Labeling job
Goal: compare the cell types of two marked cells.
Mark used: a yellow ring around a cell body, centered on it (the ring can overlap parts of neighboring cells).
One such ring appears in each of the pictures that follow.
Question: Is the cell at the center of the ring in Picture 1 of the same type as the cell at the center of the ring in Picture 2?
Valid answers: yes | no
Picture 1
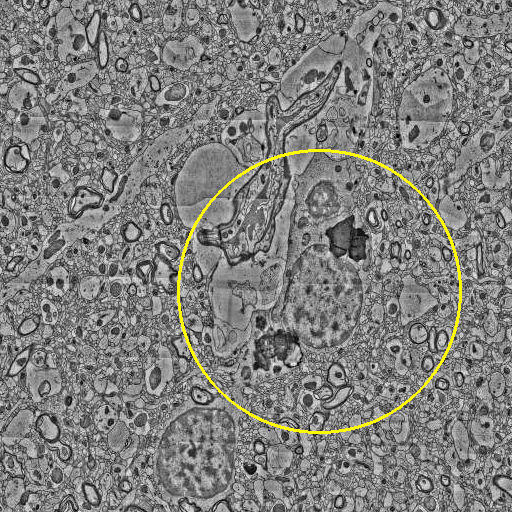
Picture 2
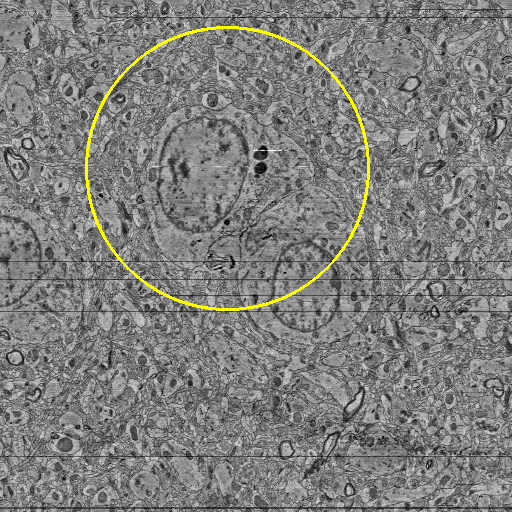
no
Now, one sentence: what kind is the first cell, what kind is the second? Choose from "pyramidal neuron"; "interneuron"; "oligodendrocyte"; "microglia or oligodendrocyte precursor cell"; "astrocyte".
The first picture has an oligodendrocyte at its ring centre, and the second has a pyramidal neuron.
